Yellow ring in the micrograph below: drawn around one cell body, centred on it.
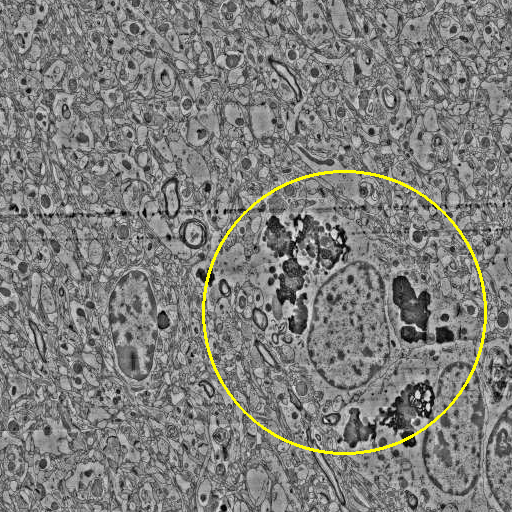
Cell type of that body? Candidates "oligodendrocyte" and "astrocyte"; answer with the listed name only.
astrocyte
